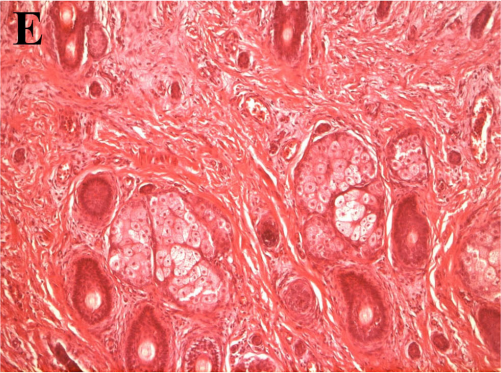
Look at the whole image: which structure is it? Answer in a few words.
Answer: Sebaceous glands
